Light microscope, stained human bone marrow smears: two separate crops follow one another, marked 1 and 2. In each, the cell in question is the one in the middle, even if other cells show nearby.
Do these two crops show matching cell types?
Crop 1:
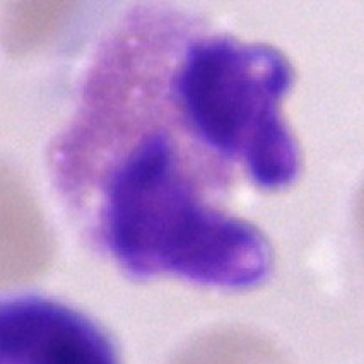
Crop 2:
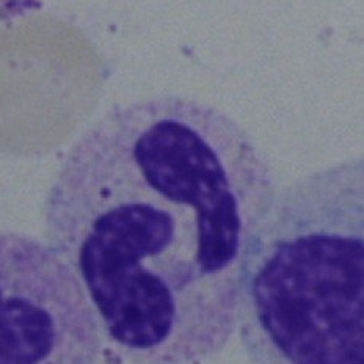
no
